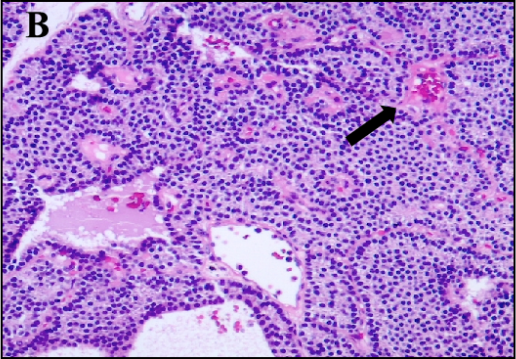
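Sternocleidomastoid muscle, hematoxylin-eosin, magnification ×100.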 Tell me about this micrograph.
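A dense sheet of small, uniform cells with round, dark purple nuclei and scant cytoplasm fills the field. Scattered through it are small round spaces holding pink material, giving a follicle-like look, and thin vessels with red blood cells. Around some vessels the nuclei line up in a row like a fence.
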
